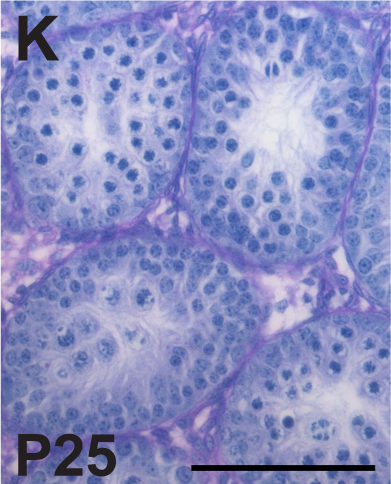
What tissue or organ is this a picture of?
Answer: Seminiferous tubules.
